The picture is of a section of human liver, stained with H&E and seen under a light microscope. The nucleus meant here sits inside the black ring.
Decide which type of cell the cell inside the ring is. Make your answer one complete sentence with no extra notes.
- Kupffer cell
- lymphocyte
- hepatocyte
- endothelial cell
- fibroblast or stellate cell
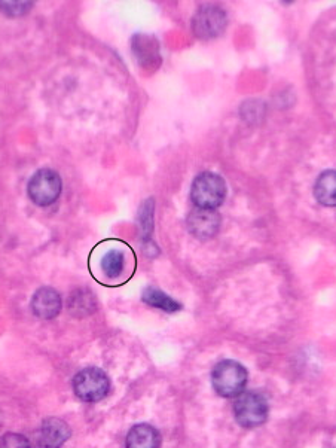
Assigned to a cell type, the cell inside the ring is a lymphocyte.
